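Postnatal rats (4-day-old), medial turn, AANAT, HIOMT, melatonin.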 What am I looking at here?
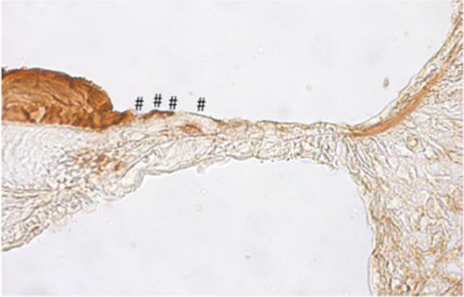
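This section shows the epithelial ridge of the developing cochlea, a flat band of tightly packed epithelial cells lying on a thin membrane across the field. At the upper left a dense, intensely brown, layered mass overlies the epithelium. The cells below the hash marks sit at the surface of the band just to the right of this mass. To the right the band joins thicker tissue that rises toward the top of the field.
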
